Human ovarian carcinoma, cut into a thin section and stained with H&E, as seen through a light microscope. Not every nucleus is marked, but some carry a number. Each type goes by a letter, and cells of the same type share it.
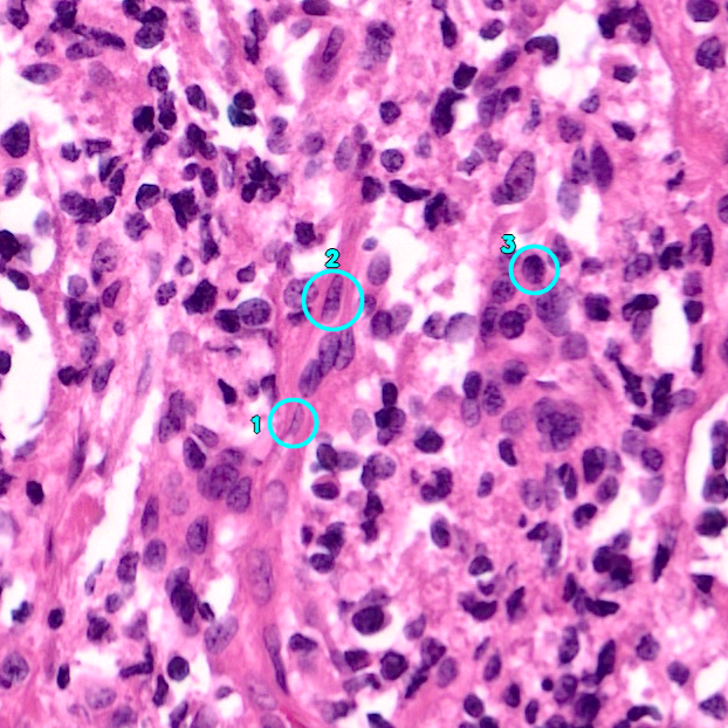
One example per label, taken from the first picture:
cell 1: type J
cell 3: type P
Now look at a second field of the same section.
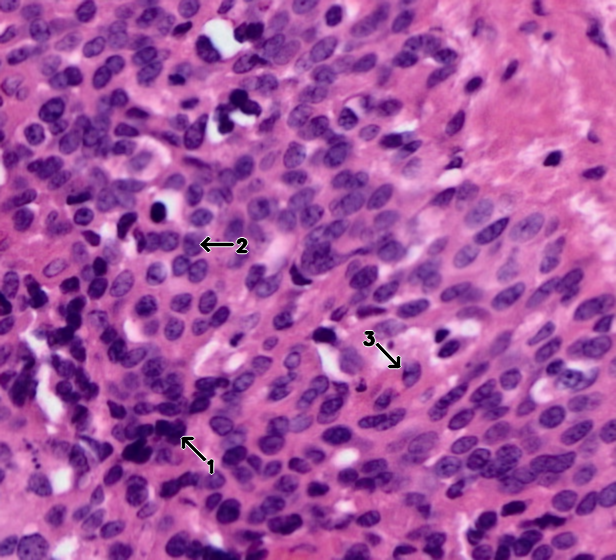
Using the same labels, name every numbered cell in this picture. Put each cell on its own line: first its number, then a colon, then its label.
1: type P
2: type P
3: type J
